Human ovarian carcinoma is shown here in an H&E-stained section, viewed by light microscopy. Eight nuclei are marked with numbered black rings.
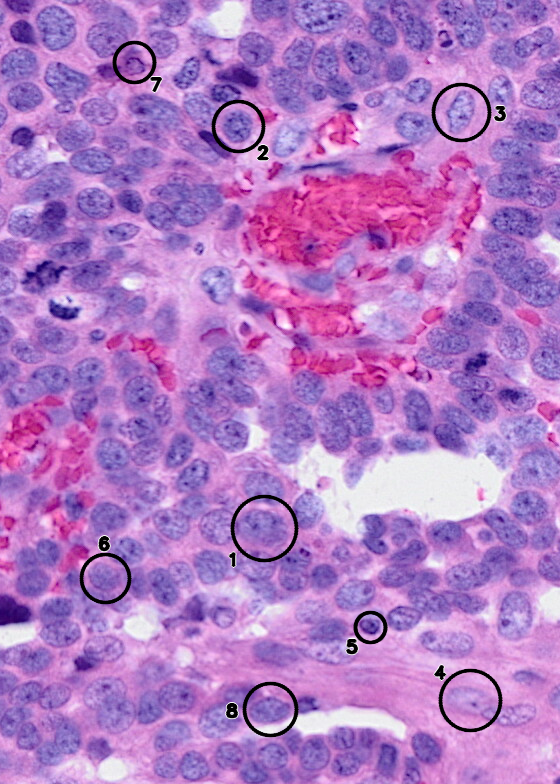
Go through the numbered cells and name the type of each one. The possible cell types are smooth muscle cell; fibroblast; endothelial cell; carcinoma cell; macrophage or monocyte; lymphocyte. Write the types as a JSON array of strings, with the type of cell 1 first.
["carcinoma cell", "carcinoma cell", "fibroblast", "fibroblast", "lymphocyte", "carcinoma cell", "macrophage or monocyte", "carcinoma cell"]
